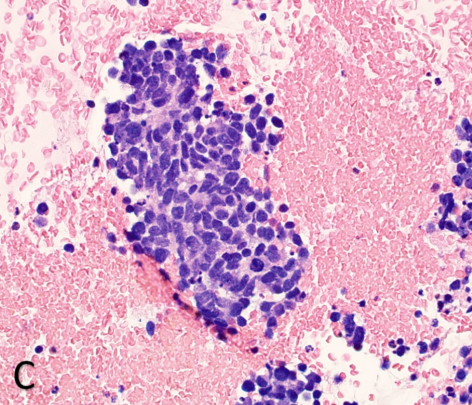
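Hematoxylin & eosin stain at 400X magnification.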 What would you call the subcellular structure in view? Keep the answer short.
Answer: Hyperchromatic nuclei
